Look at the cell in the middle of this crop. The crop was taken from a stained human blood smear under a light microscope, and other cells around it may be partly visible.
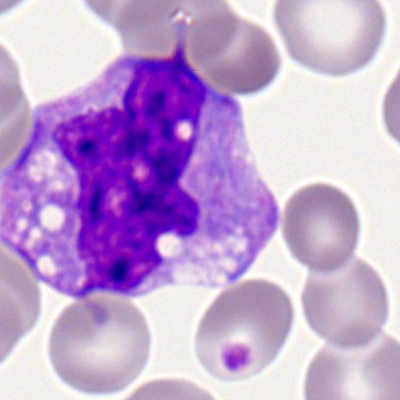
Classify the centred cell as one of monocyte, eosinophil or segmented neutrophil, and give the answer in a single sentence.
On this slide crop, the central cell is a monocyte.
